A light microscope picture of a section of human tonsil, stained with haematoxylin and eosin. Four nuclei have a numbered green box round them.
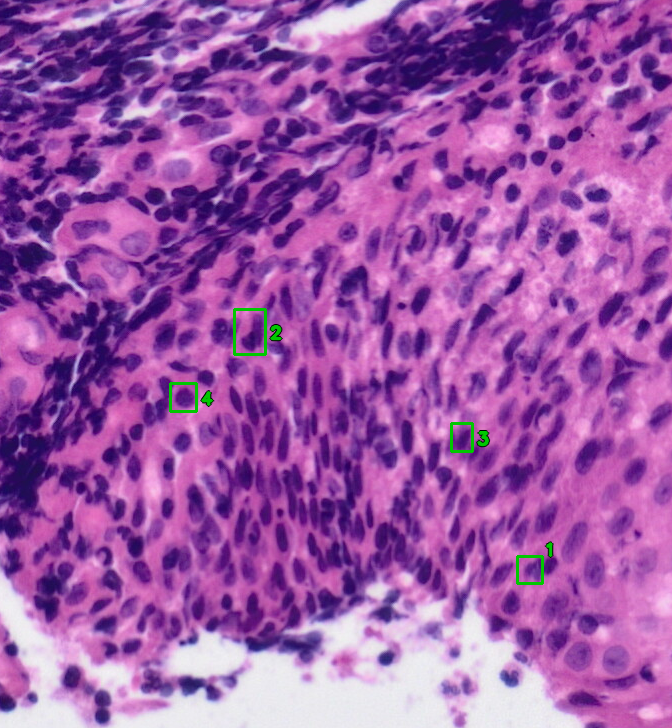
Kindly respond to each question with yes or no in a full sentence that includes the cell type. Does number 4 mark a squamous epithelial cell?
No, it is a plasma cell, not a squamous epithelial cell, at number 4.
